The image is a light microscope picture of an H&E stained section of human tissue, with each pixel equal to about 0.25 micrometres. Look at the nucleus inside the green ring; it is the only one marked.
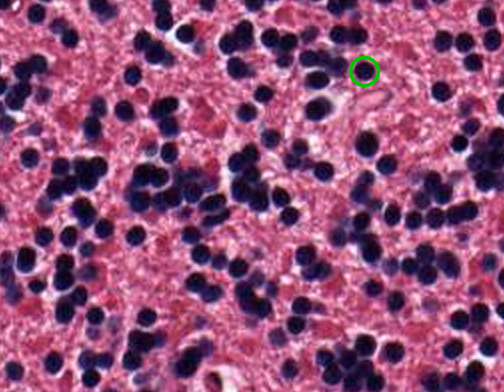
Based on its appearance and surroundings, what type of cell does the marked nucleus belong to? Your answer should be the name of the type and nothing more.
cerebellar granule cell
